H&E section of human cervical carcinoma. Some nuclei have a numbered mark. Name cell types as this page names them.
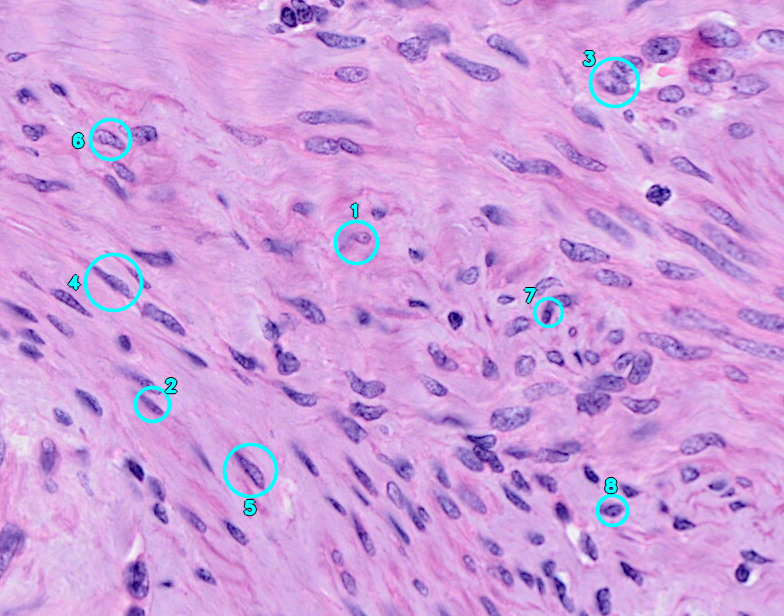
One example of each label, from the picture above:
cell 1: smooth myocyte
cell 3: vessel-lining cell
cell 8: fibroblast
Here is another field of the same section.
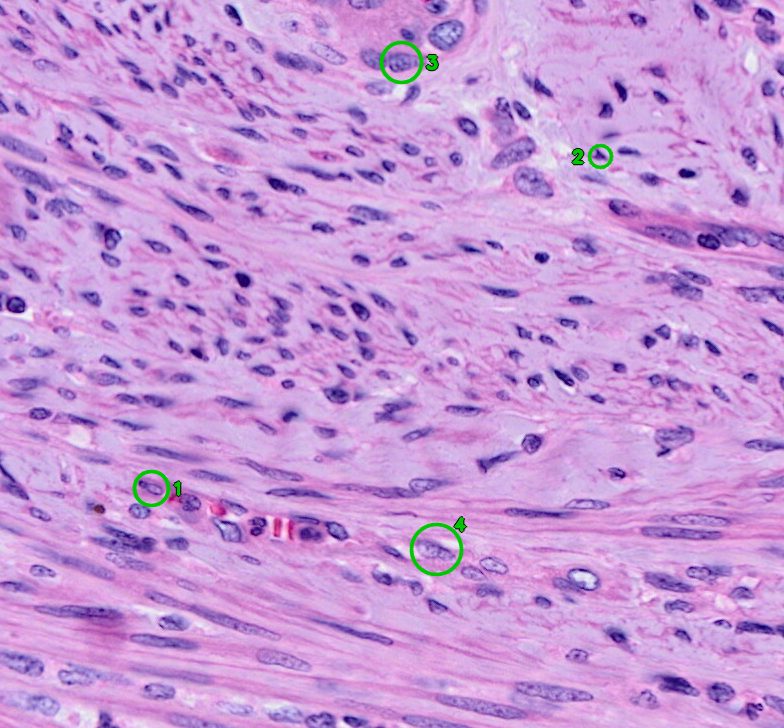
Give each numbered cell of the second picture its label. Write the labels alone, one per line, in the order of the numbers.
vessel-lining cell
fibroblast
smooth myocyte
vessel-lining cell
